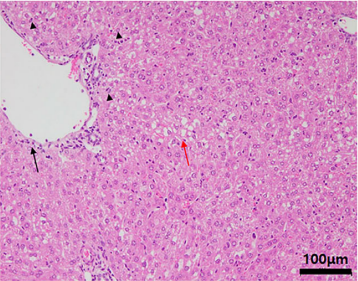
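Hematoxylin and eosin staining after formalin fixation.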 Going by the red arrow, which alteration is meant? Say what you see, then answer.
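Hepatocyte vacuolation. The red arrow points to pale, clear spaces within the cytoplasm of liver cells.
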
